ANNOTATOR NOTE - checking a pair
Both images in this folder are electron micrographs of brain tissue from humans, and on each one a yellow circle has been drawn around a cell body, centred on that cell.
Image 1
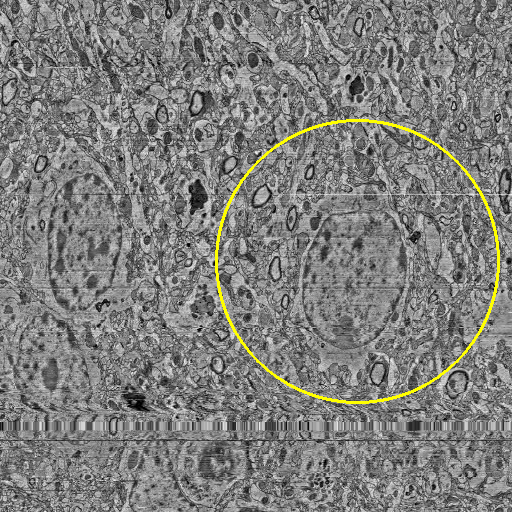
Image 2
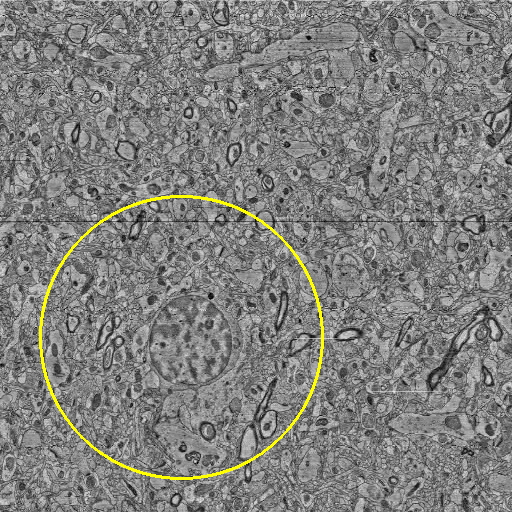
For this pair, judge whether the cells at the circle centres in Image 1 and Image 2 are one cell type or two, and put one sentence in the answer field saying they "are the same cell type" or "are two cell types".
For this pair, the cells at the circle centres in Images 1 and 2 are two cell types.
